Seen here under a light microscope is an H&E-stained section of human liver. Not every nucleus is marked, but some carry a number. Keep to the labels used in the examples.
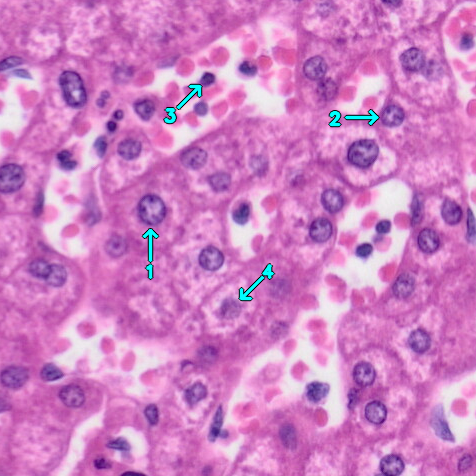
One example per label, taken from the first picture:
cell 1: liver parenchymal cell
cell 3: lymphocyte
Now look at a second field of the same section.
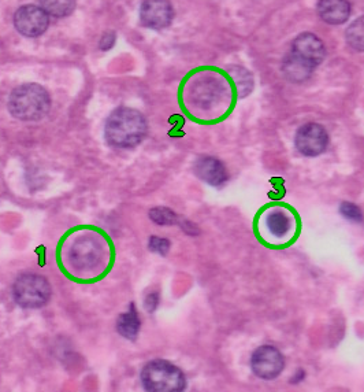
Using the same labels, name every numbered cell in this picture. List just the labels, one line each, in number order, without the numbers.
liver parenchymal cell
liver parenchymal cell
lymphocyte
